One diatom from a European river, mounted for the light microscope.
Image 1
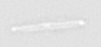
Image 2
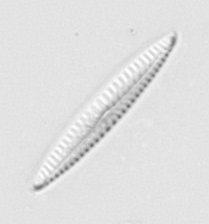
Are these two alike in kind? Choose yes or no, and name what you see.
No. First Fistulifera, second Navicula.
